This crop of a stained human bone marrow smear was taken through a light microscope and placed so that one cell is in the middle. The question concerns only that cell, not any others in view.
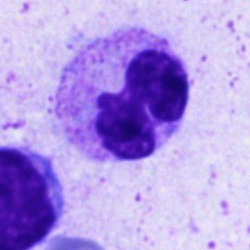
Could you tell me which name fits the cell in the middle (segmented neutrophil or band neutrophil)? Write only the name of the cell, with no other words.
segmented neutrophil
